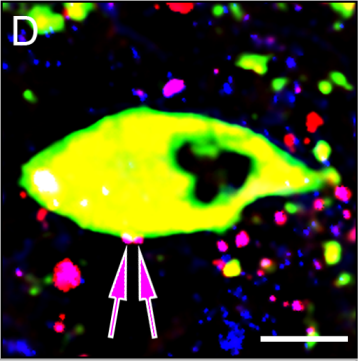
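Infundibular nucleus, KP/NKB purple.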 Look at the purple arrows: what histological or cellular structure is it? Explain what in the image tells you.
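Afferent contact. The arrows point to a small bouton on the lower edge of the spindle-shaped cell body. The bouton sits directly against the cell surface.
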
